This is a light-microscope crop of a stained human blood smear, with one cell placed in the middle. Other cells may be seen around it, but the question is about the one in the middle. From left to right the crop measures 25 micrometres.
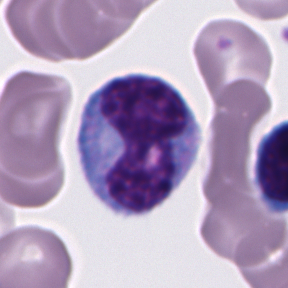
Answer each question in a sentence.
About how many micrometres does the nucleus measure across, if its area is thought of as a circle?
About 9 micrometres: that is the diameter of the nucleus.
